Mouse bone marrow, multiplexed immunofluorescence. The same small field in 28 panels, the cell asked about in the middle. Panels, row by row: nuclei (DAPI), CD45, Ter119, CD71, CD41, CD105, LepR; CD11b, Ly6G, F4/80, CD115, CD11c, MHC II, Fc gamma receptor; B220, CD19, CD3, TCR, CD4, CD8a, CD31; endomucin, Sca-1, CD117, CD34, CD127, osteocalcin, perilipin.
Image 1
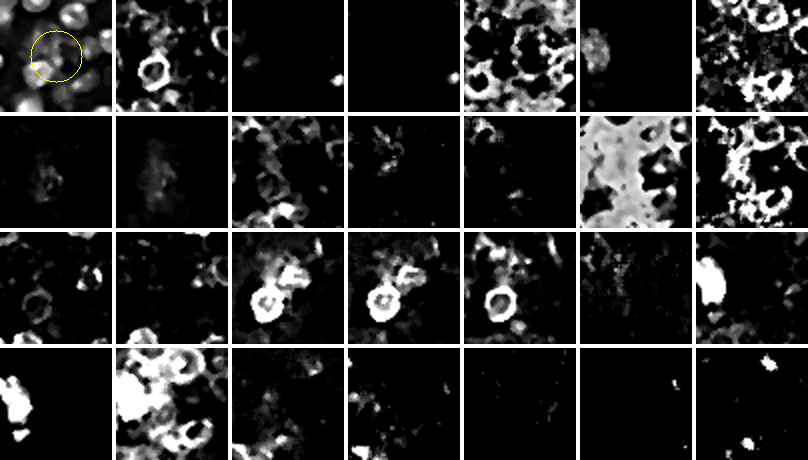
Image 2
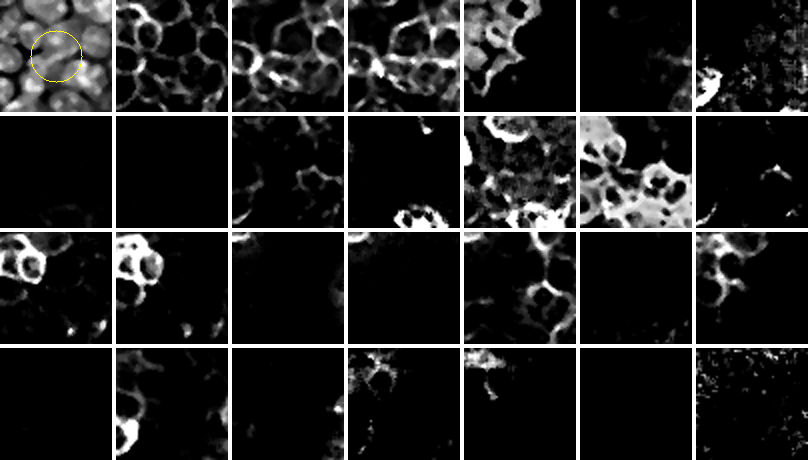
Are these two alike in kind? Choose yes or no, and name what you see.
No. First a double-negative T cell, second an erythroblast.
